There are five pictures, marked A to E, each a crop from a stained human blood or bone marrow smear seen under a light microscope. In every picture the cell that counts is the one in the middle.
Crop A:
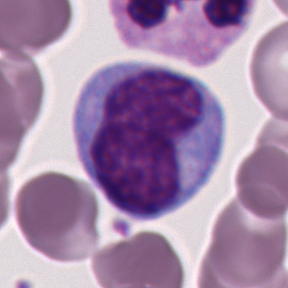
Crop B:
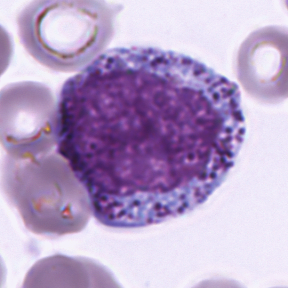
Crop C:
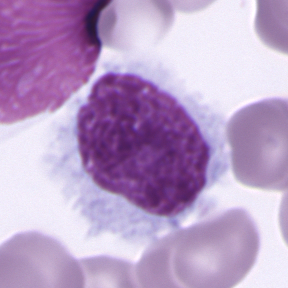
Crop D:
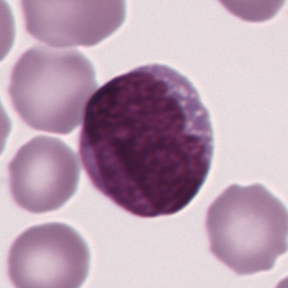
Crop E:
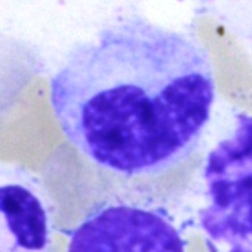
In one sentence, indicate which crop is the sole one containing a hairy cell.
Crop C is the one that shows a hairy cell.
